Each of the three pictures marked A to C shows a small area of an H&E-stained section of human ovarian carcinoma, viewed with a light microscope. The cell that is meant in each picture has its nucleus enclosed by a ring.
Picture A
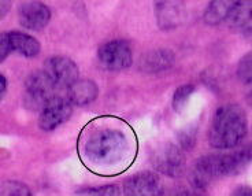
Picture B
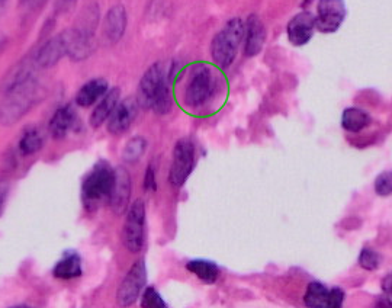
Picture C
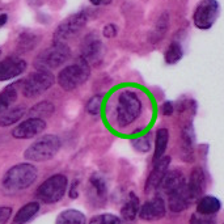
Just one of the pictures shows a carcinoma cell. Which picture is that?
B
